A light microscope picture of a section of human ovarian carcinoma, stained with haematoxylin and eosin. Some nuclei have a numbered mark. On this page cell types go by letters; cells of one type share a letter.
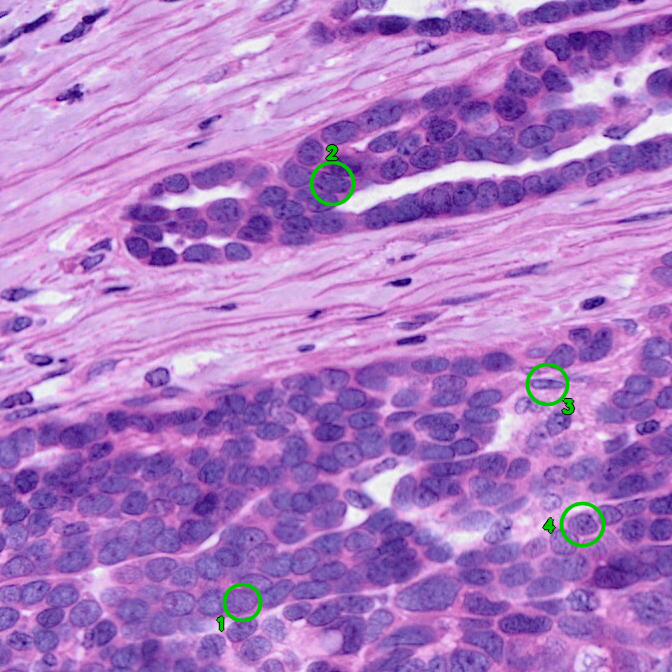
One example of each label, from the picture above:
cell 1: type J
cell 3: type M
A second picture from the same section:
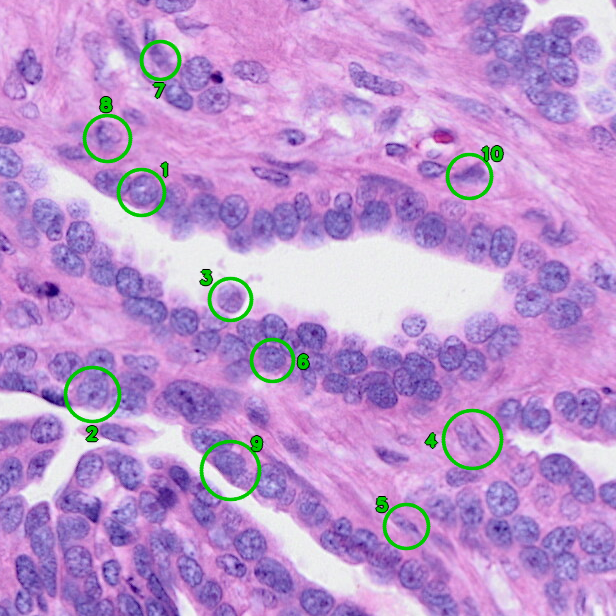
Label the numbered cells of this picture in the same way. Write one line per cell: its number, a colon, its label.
1: type J
2: type J
3: type J
4: type M
5: type M
6: type J
7: type M
8: type M
9: type J
10: type M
